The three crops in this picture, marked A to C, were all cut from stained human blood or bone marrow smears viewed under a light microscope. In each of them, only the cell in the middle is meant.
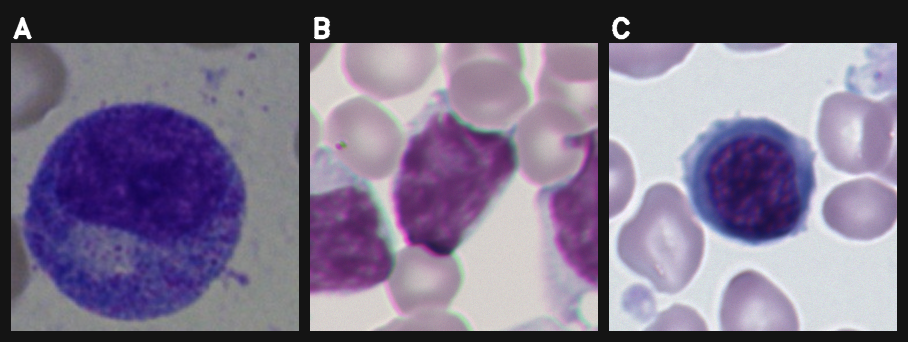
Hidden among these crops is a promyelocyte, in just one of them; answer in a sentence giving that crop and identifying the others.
Summary: crop A shows a promyelocyte, while crop B is a lymphocyte and crop C is an erythroblast.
